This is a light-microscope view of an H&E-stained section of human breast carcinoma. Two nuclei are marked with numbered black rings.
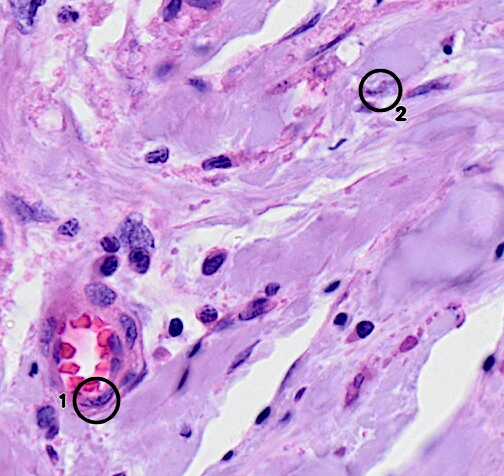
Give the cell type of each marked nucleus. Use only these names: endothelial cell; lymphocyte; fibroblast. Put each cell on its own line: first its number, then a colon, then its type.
1: endothelial cell
2: fibroblast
